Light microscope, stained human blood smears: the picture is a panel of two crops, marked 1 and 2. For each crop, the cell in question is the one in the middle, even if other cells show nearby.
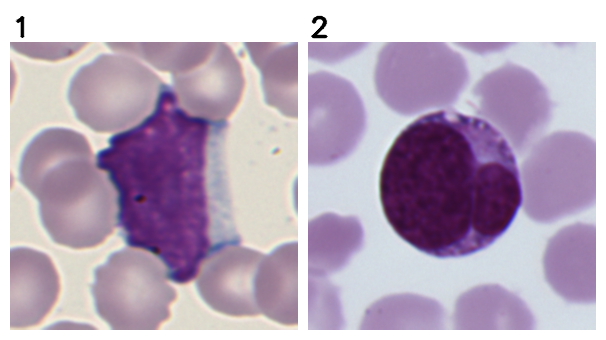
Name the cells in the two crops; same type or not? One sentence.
No, crop 1 carries a lymphocyte at its centre, and crop 2 carries a blast.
